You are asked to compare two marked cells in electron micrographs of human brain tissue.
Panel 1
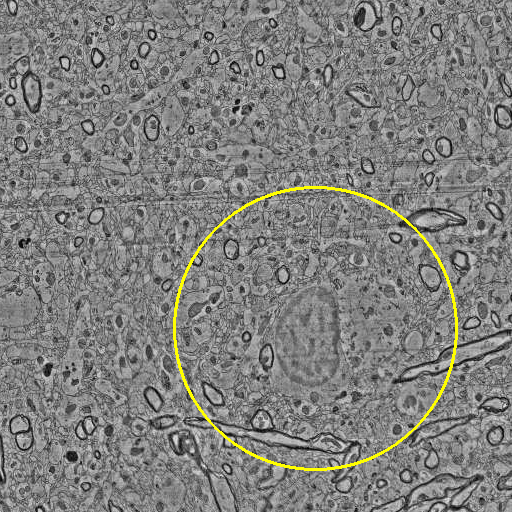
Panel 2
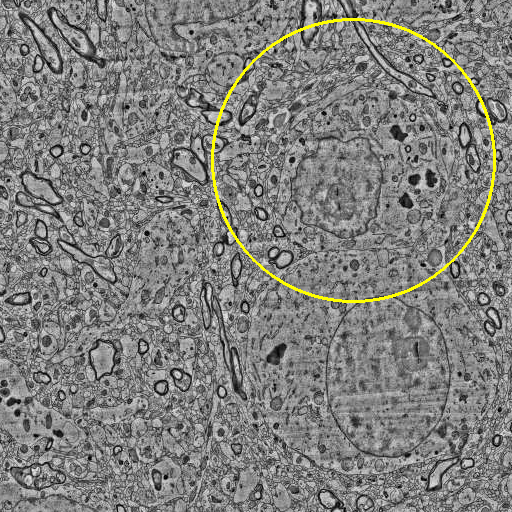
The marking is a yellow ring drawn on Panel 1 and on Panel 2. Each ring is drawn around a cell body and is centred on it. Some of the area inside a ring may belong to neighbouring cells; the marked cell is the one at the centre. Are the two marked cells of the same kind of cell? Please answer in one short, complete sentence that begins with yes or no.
No, the two marked cells are of two kinds.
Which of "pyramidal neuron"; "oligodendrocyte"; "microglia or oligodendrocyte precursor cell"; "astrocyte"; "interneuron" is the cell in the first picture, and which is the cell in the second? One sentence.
The two differ: the first cell is an oligodendrocyte and the second is an interneuron.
